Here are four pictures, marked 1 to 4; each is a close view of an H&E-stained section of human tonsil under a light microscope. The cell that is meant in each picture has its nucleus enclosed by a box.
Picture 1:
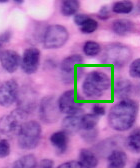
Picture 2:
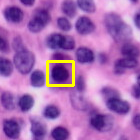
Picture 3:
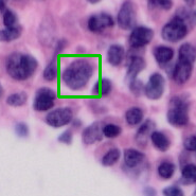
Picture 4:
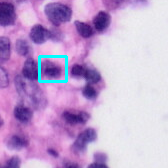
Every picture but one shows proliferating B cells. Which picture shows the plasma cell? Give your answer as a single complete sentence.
It is picture 2 that shows the plasma cell.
